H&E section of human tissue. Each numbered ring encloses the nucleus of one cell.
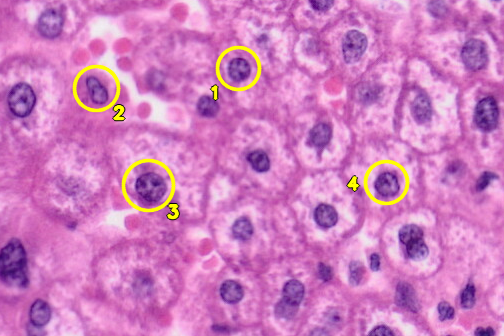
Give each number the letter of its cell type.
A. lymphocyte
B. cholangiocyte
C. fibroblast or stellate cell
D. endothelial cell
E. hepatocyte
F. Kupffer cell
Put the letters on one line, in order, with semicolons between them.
E; F; E; E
